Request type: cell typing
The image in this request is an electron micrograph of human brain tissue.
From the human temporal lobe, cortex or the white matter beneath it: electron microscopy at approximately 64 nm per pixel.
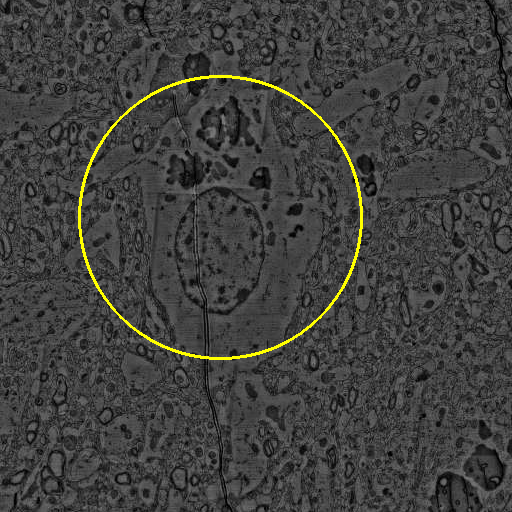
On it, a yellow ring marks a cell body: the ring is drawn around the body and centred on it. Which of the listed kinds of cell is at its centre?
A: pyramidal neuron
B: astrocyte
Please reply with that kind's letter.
B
